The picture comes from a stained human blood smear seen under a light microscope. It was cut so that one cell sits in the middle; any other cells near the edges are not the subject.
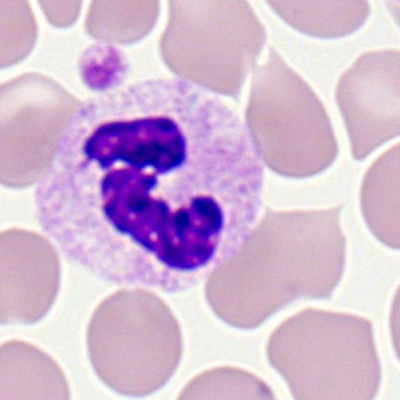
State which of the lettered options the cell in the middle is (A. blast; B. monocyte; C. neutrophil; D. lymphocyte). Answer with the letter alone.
C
